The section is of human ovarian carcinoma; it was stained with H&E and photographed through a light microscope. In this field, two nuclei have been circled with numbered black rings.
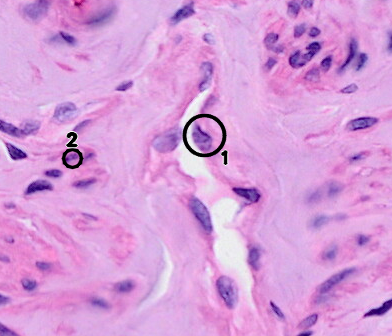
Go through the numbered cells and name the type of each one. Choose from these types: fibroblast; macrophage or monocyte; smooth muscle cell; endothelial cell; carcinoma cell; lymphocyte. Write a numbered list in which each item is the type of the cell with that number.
1. endothelial cell
2. smooth muscle cell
